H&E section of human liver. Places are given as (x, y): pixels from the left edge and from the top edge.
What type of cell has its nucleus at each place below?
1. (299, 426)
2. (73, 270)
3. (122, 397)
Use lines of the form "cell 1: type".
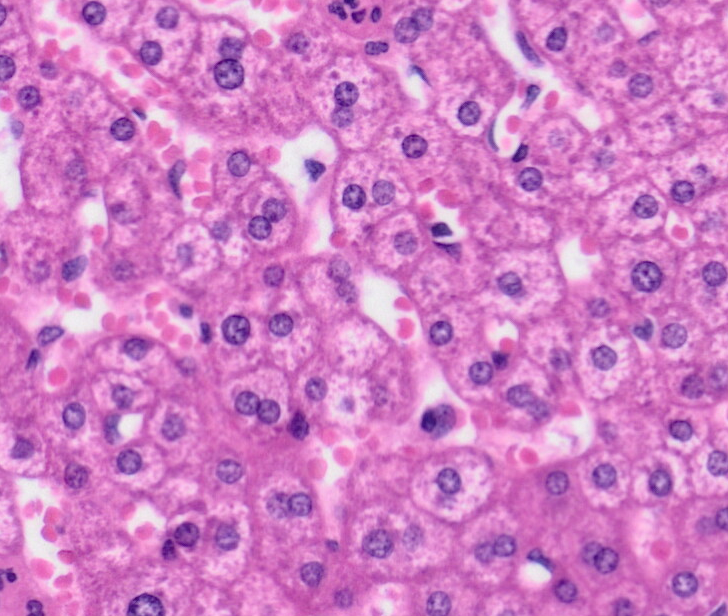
cell 1: fibroblast or stellate cell
cell 2: fibroblast or stellate cell
cell 3: hepatocyte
